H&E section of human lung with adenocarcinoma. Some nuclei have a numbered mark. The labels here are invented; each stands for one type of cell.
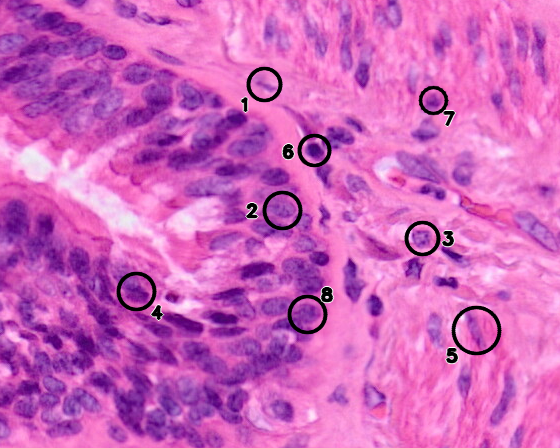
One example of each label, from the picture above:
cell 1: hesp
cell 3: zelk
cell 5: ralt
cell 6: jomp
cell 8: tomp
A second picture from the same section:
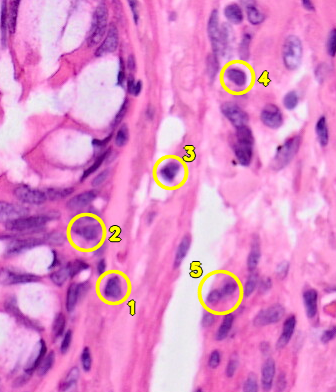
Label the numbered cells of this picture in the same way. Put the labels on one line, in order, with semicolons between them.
zelk; tomp; jomp; jomp; ralt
